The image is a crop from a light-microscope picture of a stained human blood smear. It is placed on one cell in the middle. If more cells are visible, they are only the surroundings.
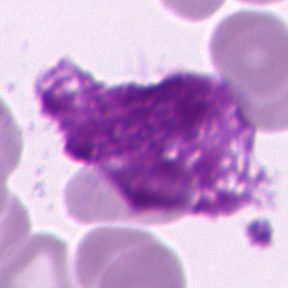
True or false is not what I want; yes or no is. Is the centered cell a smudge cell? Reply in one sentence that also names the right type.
Yes, at the centre of the crop lies a smudge cell.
